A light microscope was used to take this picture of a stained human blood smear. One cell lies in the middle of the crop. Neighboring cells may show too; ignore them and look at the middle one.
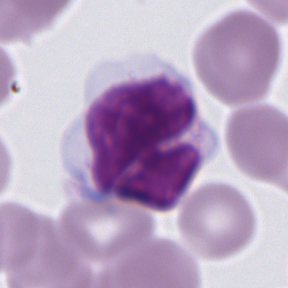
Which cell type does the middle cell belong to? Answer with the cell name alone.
large granular lymphocyte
